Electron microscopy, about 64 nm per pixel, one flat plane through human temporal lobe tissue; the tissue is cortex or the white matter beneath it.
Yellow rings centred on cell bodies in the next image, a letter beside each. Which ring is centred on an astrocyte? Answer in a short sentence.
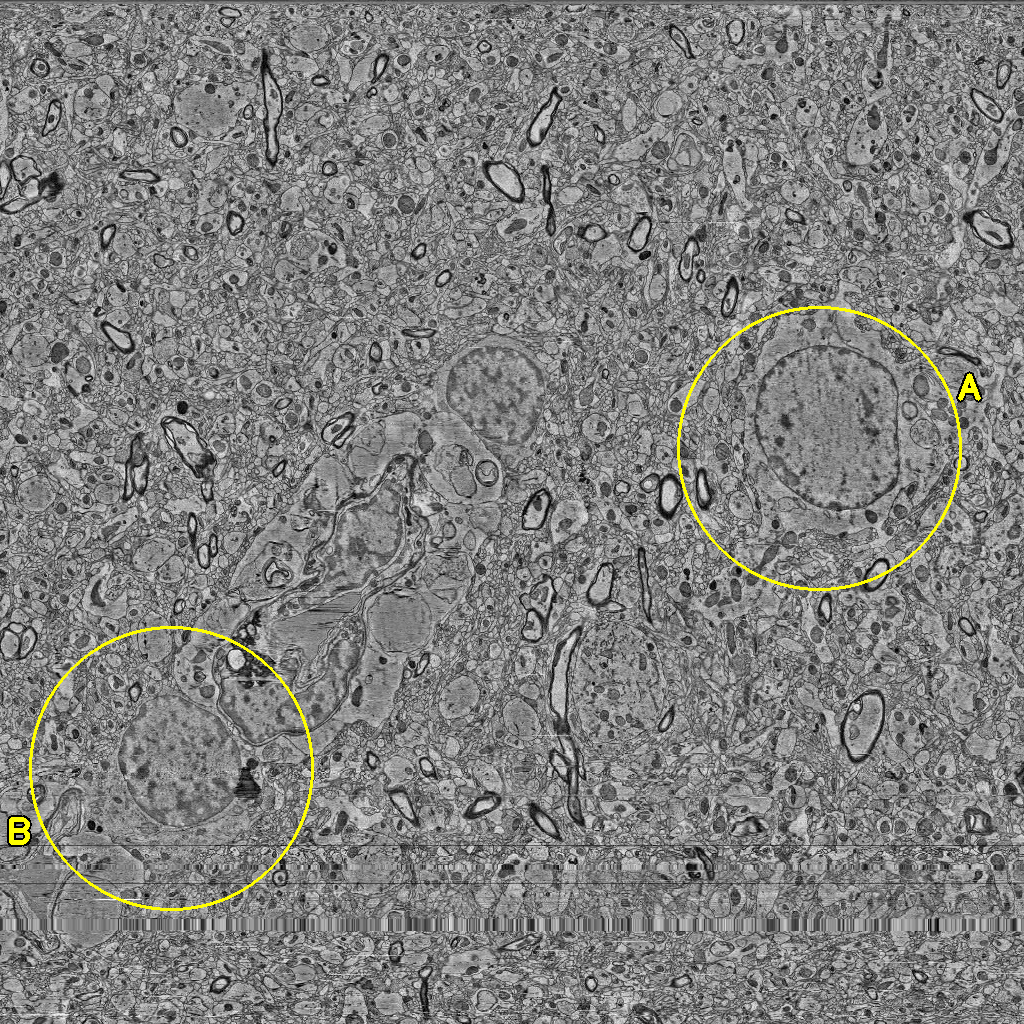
Ring A is centred on it.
